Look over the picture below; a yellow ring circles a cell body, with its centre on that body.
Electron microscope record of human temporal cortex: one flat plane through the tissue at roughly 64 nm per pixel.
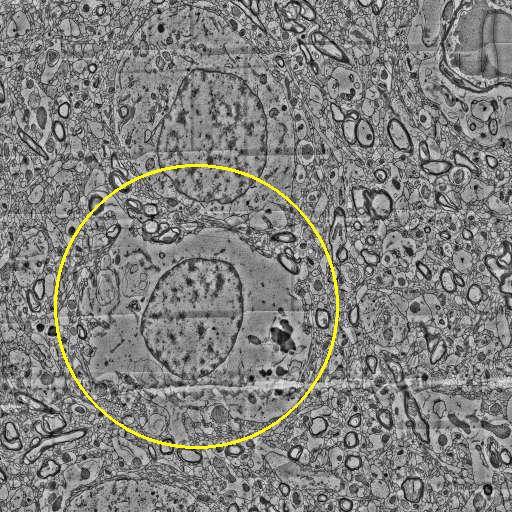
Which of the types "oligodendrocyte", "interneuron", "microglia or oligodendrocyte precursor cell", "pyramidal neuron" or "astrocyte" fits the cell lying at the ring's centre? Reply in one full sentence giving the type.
The picture shows an astrocyte at the centre of the yellow ring.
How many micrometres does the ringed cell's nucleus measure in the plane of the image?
The ringed cell's nucleus measures approximately 8 by 6 micrometres in this plane.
